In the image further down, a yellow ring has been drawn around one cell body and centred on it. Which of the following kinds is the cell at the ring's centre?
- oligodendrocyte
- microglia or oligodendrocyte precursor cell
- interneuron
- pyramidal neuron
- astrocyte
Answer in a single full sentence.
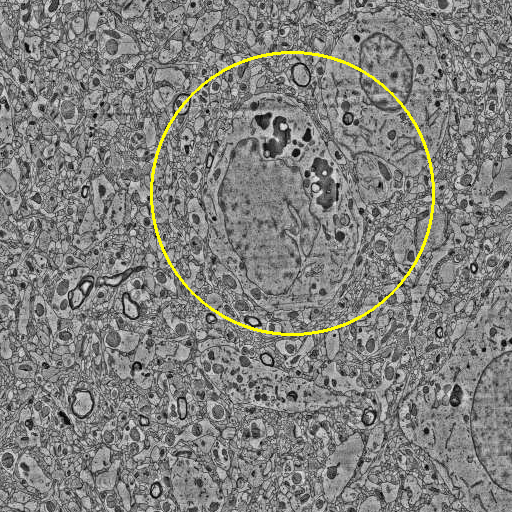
In the picture, the cell sitting at the centre of the yellow ring is an interneuron.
